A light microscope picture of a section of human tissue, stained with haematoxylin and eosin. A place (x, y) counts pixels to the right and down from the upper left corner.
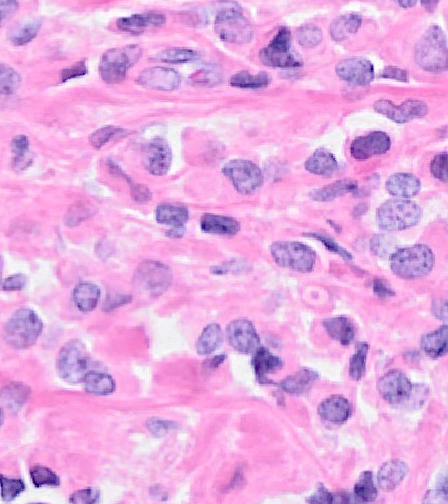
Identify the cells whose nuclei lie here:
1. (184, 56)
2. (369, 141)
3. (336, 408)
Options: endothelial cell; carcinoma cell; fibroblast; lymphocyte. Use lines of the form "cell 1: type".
cell 1: endothelial cell
cell 2: carcinoma cell
cell 3: carcinoma cell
